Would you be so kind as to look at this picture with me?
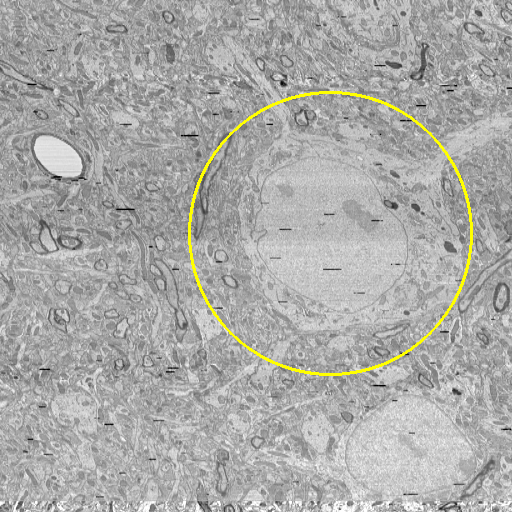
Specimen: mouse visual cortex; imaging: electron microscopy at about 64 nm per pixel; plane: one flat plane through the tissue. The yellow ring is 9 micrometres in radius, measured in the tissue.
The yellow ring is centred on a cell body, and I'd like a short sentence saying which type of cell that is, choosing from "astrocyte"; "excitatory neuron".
The cell body in the ring belongs to an excitatory neuron.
